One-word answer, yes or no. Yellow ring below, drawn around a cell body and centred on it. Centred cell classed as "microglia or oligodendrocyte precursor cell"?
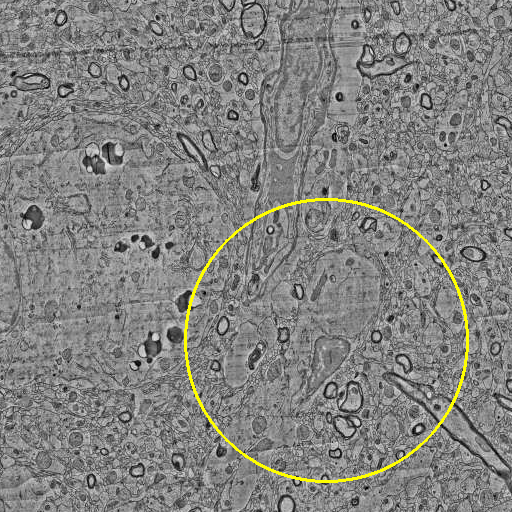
yes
